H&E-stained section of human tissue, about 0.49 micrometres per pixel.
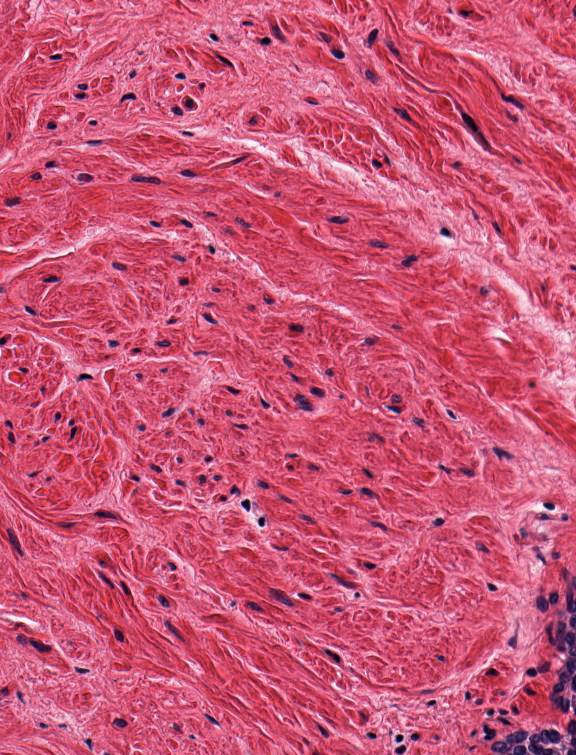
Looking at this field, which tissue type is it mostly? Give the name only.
fibromuscular stroma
